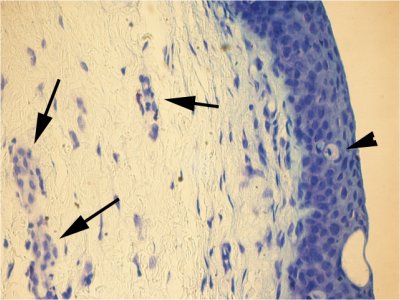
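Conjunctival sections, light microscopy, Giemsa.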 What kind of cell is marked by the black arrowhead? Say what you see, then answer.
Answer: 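The arrowhead points at a rounded, pale, swollen cell lying within the stratified epithelium. The cell stands out from the surrounding densely blue-stained epithelial cells. That points to this answer: goblet cells.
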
